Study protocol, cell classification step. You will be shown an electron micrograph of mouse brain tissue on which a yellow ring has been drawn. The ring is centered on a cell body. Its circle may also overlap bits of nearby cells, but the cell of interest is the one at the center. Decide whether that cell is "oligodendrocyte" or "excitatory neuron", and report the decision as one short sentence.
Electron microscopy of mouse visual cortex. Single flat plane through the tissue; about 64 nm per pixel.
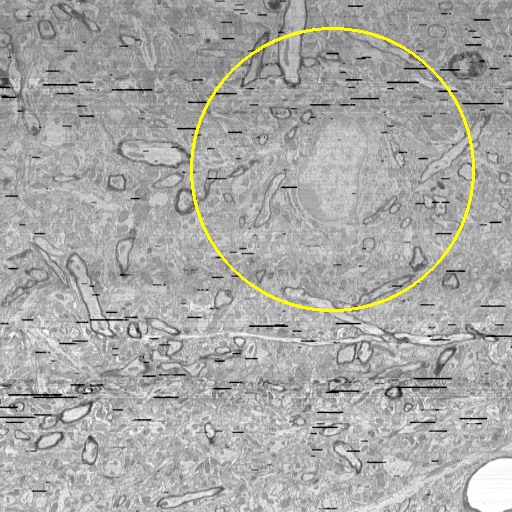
The marked cell is an oligodendrocyte.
